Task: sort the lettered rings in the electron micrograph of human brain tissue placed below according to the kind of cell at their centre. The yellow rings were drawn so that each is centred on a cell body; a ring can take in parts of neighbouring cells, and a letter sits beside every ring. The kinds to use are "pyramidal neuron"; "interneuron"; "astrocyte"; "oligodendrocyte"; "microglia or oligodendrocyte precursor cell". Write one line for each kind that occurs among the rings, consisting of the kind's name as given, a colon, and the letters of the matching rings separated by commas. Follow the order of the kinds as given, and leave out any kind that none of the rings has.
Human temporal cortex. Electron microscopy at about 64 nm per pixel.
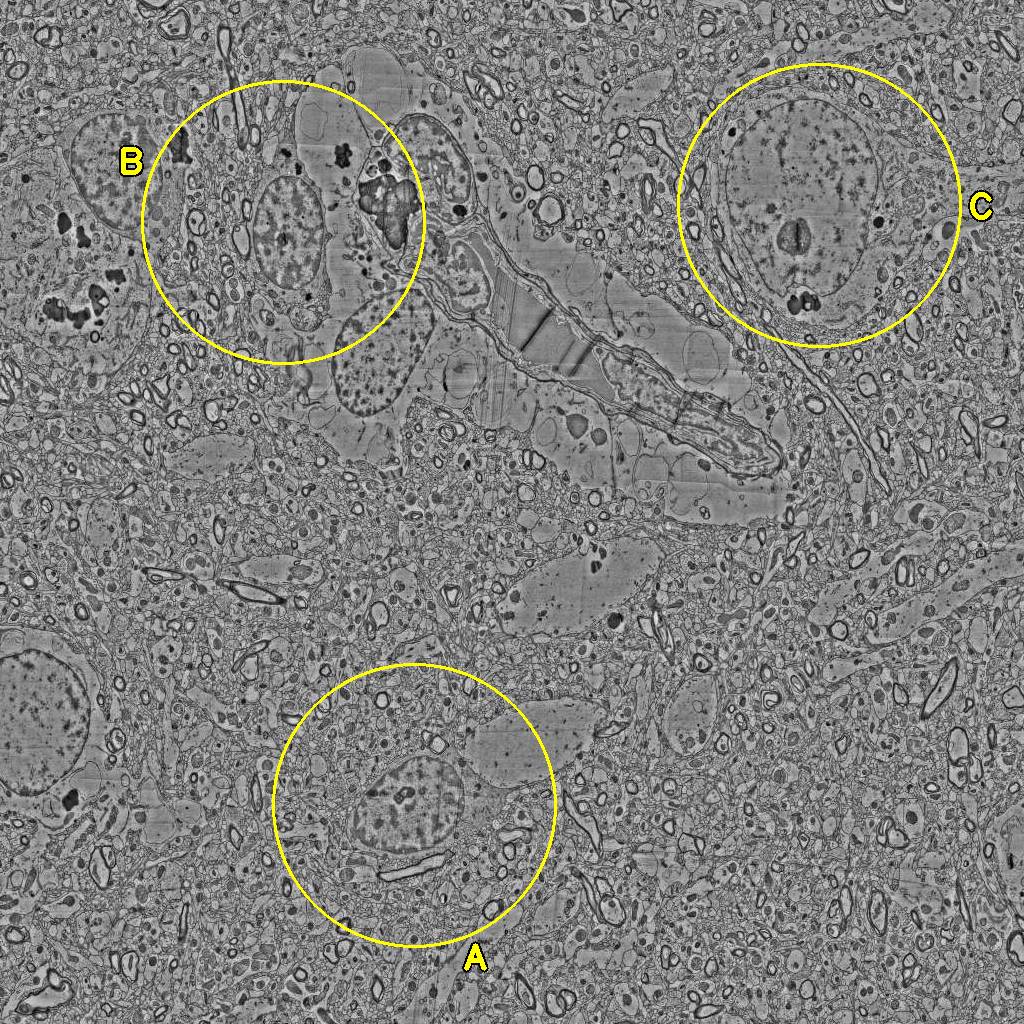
pyramidal neuron: C
oligodendrocyte: A, B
